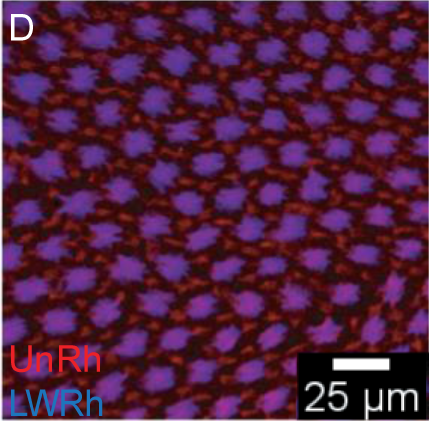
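A transverse section through the eye shows a regular, closely packed array of rounded blue profiles, one for each repeating unit of the eye. Each blue profile is surrounded by small red dots and patches that lie in the spaces between neighbouring units.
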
